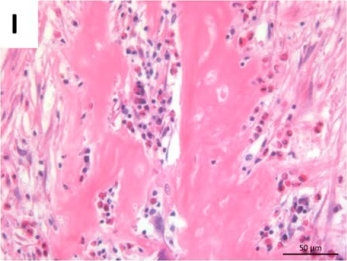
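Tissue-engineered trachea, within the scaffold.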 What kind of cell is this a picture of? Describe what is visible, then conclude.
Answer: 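Small cells with dark round nuclei crowd in strands. The cells lie between bands of dense pink matrix. So: infiltrating inflammatory cells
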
